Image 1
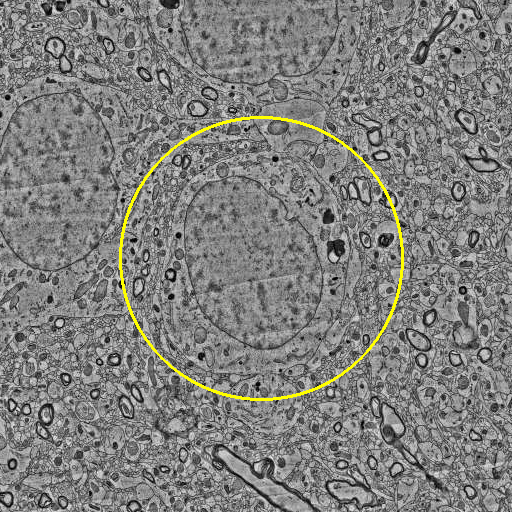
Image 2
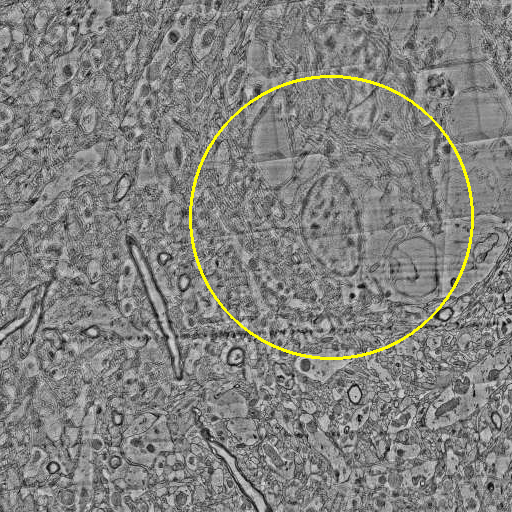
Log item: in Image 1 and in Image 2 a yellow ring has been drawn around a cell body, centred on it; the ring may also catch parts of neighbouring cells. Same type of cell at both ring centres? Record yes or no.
no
